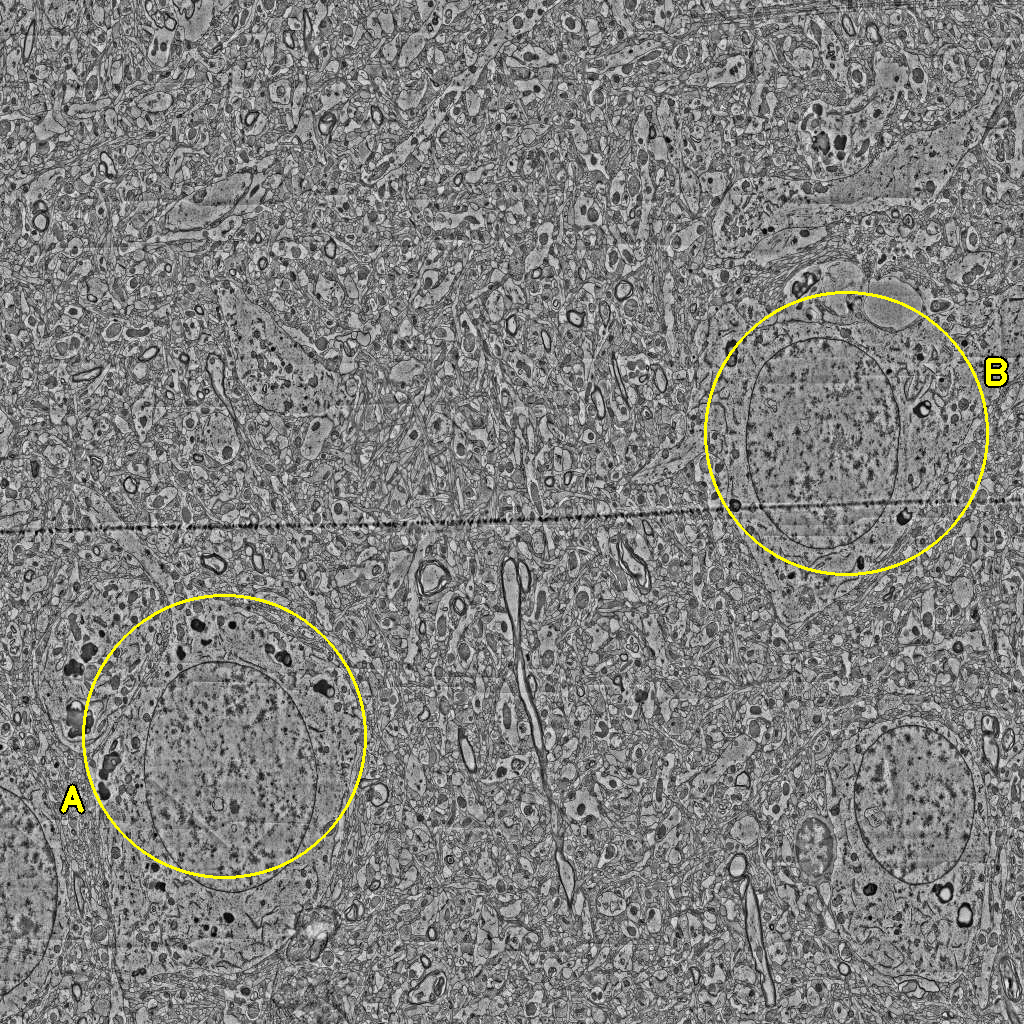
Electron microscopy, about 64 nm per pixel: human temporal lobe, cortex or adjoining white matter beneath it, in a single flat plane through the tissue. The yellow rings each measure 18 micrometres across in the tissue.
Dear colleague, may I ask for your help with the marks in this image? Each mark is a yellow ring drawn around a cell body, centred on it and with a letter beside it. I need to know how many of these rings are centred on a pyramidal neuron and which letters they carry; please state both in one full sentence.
The rings labelled A and B come to two, with a pyramidal neuron at the centre of every one of them.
